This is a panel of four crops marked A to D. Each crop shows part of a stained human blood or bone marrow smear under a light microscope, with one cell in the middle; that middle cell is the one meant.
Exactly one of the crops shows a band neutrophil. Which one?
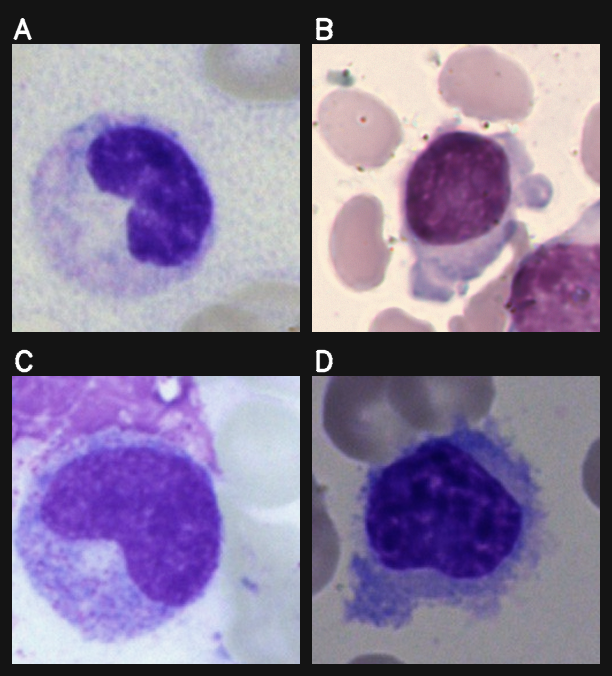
A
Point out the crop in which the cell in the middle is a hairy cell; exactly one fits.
D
